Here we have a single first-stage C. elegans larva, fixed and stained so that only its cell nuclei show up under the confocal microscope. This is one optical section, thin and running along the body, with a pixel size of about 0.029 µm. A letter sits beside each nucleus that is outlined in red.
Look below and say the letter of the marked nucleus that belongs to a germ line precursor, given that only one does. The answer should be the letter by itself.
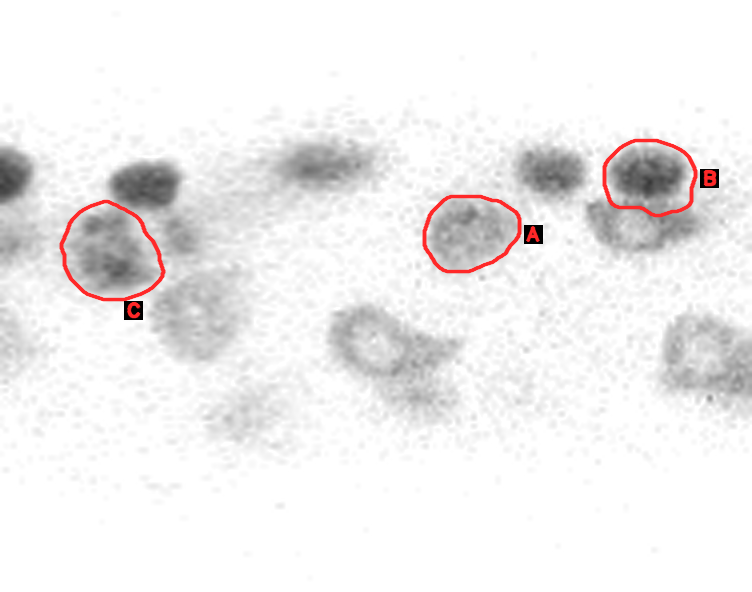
C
